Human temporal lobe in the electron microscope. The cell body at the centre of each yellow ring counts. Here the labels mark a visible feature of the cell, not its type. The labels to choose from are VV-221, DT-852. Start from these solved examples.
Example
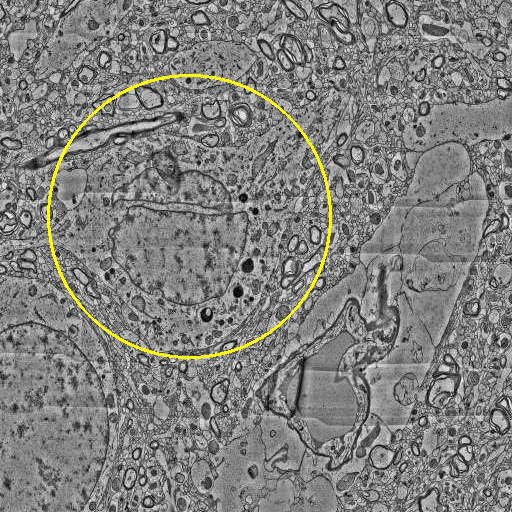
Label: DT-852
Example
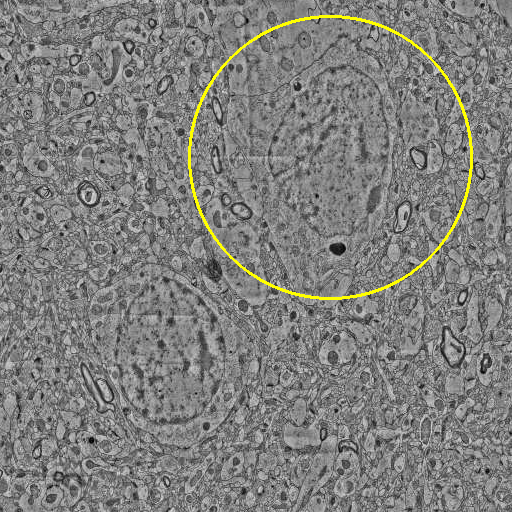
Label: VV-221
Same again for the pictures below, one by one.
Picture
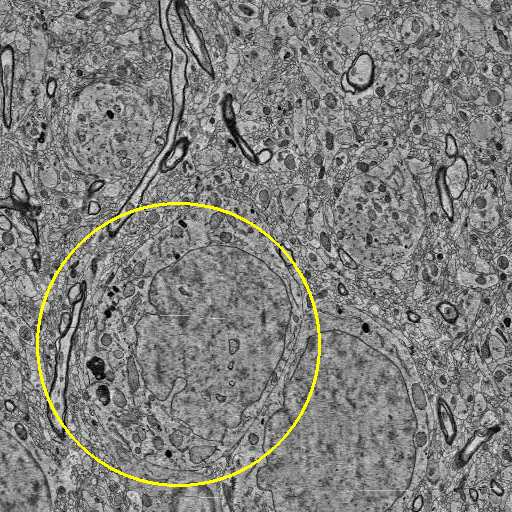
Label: DT-852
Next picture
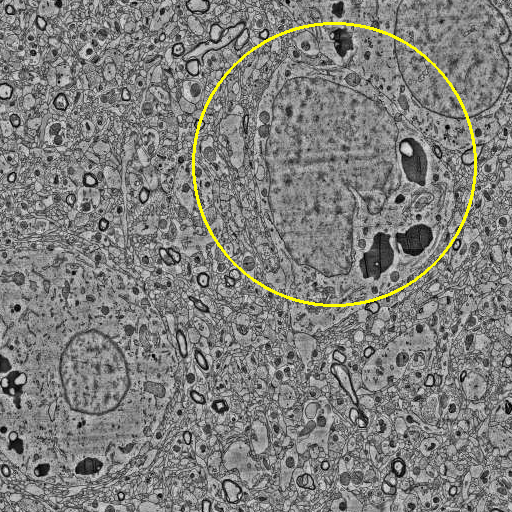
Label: DT-852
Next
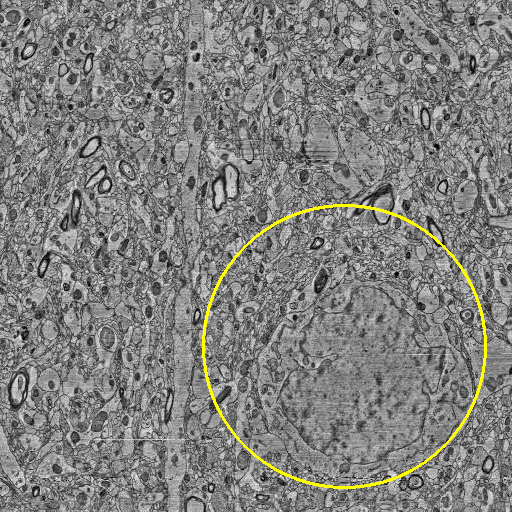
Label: DT-852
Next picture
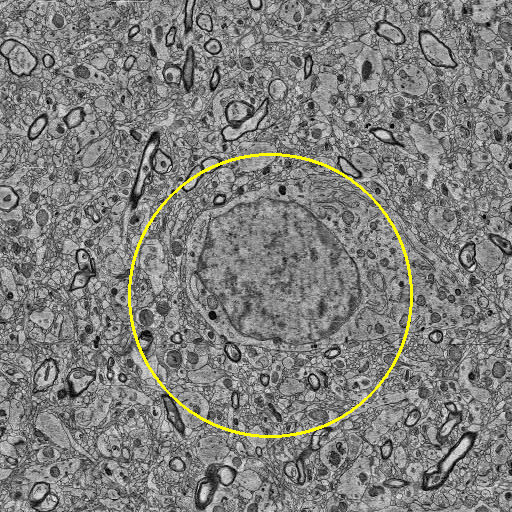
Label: VV-221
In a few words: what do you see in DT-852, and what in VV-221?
DT-852: deeply folded or indented nuclear envelopes; VV-221: smooth nuclear envelopes without deep folds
